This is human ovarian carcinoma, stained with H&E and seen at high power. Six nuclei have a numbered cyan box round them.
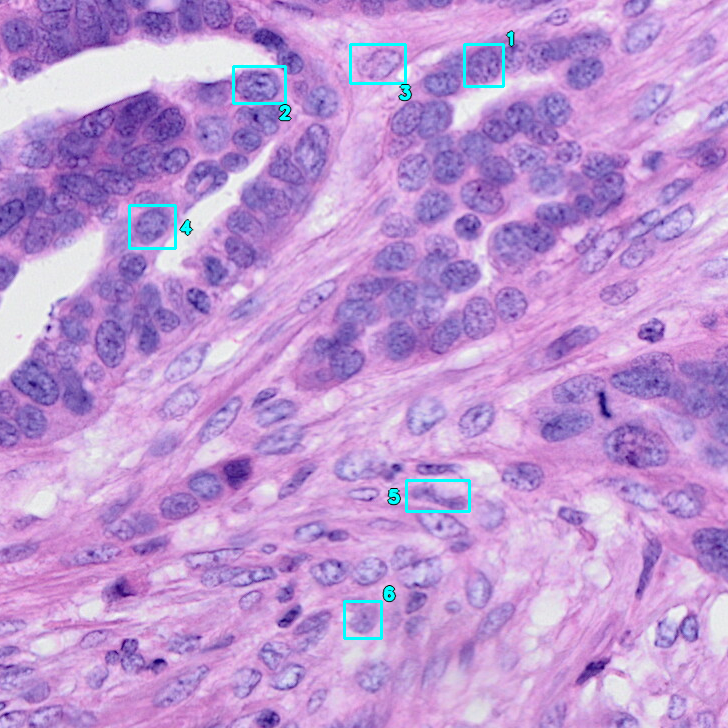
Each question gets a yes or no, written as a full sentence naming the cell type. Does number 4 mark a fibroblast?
No, for cell 4, the correct identification is a carcinoma cell instead of a fibroblast.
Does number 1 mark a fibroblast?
No, the cell labelled 1 is a carcinoma cell and not a fibroblast.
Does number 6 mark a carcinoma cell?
No, cell 6 counts as a fibroblast rather than as a carcinoma cell.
